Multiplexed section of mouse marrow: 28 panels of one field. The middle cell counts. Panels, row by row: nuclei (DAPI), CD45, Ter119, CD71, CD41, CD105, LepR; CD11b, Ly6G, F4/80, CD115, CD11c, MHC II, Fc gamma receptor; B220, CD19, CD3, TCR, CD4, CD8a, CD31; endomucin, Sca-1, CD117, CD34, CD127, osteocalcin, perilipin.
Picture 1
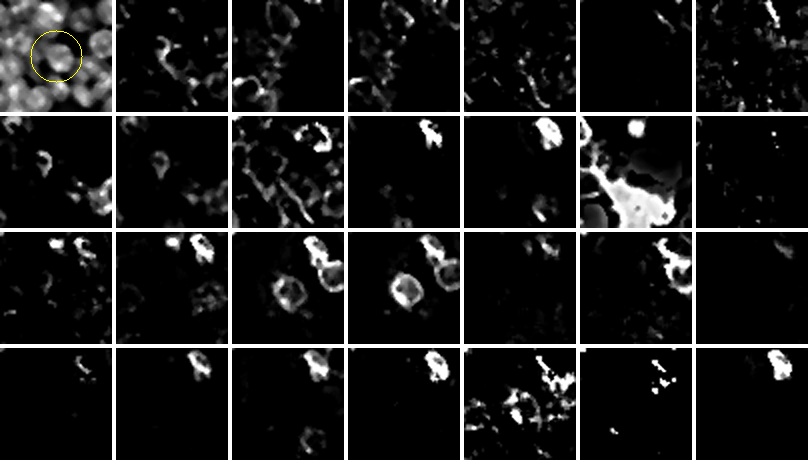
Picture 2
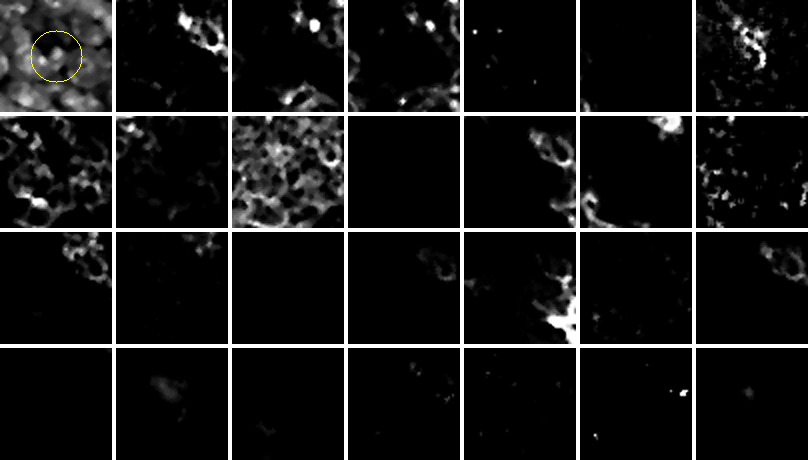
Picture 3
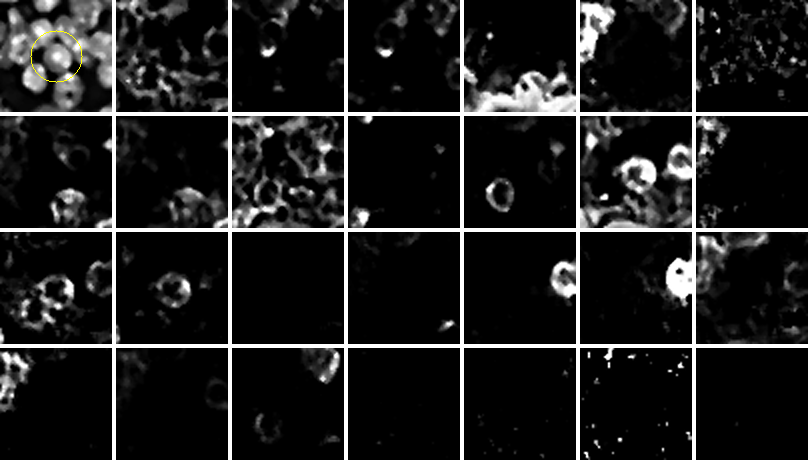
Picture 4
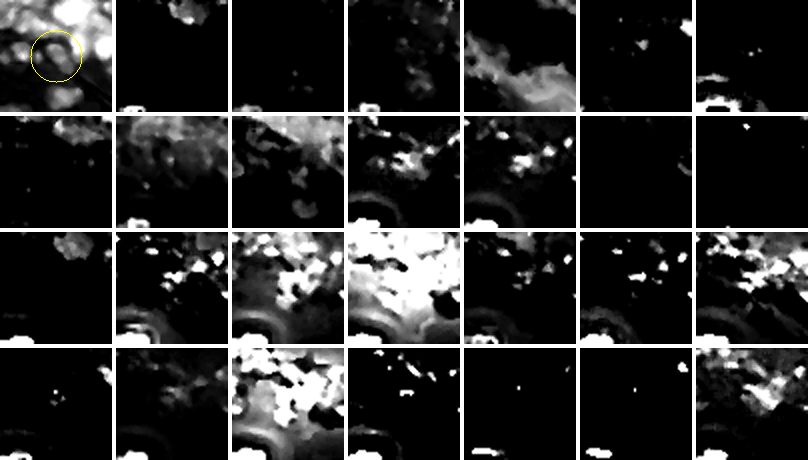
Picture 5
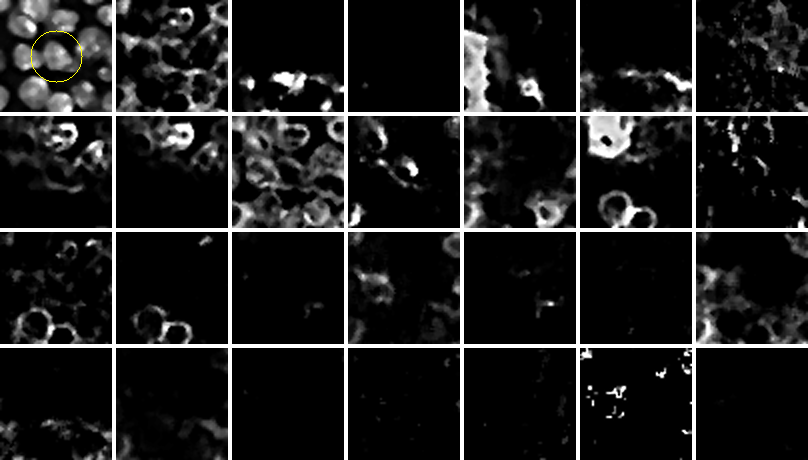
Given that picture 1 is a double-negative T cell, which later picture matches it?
4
